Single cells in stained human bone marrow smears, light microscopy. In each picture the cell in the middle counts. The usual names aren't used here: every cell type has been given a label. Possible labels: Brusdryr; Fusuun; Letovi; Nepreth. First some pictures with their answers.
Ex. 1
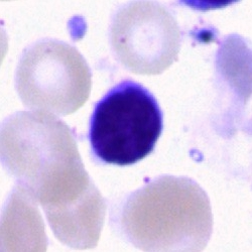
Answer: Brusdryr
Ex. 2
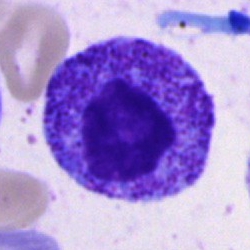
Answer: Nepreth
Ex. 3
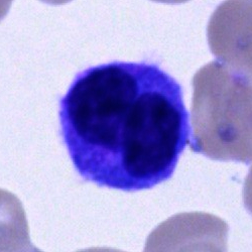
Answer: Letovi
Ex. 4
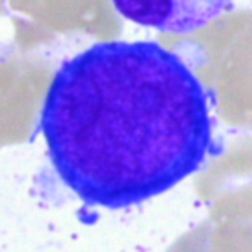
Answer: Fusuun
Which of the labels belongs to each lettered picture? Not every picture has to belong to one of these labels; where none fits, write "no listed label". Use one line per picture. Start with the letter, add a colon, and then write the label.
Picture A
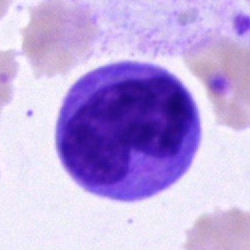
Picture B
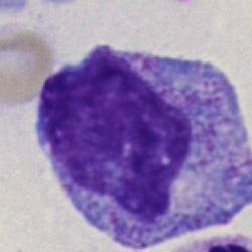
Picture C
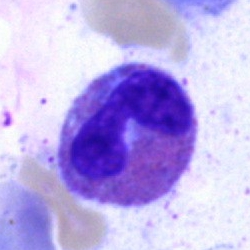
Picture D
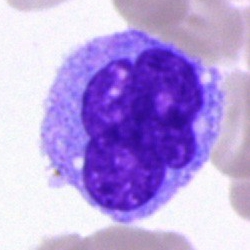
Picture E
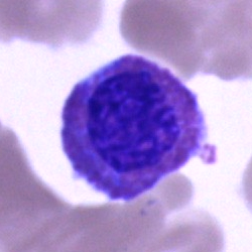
A: Letovi
B: Nepreth
C: no listed label
D: Letovi
E: no listed label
